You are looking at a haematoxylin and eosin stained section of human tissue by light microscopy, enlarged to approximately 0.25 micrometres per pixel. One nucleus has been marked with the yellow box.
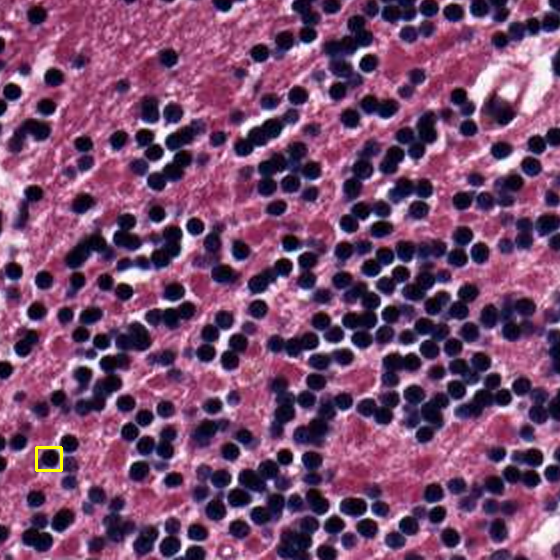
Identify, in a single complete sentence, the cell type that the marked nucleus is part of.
It is to a cerebellar granule cell that the marked nucleus belongs.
